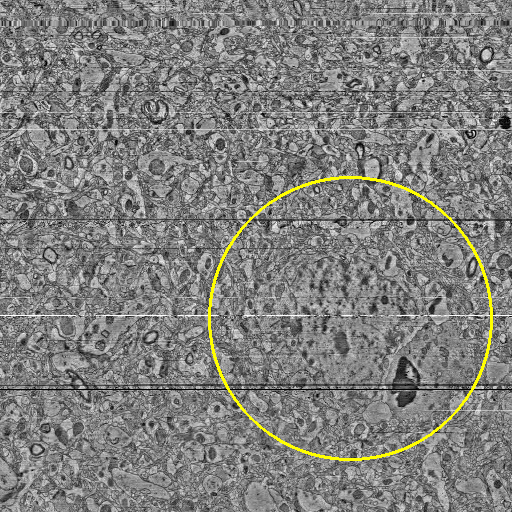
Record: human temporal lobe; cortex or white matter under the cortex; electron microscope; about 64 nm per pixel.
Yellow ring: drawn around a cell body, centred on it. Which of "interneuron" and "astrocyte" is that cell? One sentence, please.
That cell body is from an interneuron.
